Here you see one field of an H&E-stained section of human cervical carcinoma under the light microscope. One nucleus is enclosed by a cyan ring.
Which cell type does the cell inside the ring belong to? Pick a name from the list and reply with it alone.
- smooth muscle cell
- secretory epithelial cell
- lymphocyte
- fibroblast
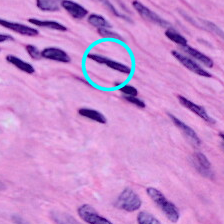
fibroblast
